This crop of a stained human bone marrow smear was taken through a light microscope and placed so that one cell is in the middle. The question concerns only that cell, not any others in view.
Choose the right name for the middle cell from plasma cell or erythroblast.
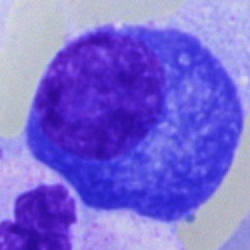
plasma cell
